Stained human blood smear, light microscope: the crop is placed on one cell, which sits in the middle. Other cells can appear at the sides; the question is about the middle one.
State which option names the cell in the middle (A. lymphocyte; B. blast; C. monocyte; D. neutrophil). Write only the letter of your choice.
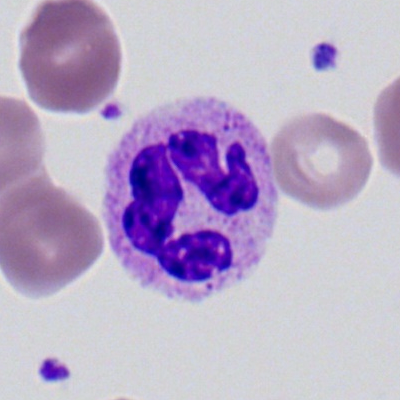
D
